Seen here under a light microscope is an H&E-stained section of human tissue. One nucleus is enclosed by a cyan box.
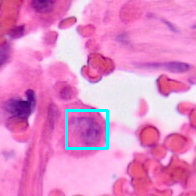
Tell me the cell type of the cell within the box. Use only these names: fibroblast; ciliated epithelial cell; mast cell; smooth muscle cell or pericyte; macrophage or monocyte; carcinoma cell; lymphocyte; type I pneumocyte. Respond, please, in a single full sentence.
On this particular slide, the cell within the box is a macrophage or monocyte.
